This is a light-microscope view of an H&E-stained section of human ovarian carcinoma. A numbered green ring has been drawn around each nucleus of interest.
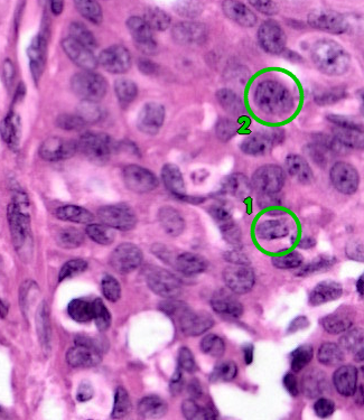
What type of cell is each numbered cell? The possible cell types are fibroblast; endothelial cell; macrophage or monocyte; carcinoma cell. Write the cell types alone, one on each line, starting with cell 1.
macrophage or monocyte
carcinoma cell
